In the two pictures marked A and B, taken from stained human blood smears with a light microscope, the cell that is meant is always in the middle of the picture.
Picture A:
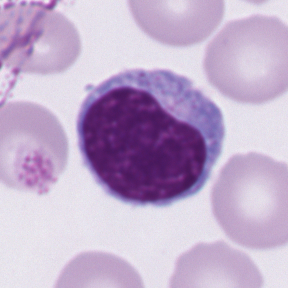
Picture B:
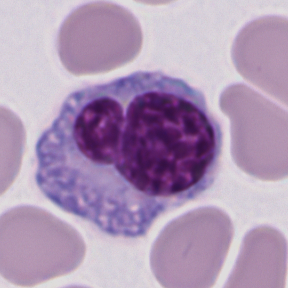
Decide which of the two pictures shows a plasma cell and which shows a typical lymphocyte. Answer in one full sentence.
Picture A is of a typical lymphocyte, and picture B is of a plasma cell.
